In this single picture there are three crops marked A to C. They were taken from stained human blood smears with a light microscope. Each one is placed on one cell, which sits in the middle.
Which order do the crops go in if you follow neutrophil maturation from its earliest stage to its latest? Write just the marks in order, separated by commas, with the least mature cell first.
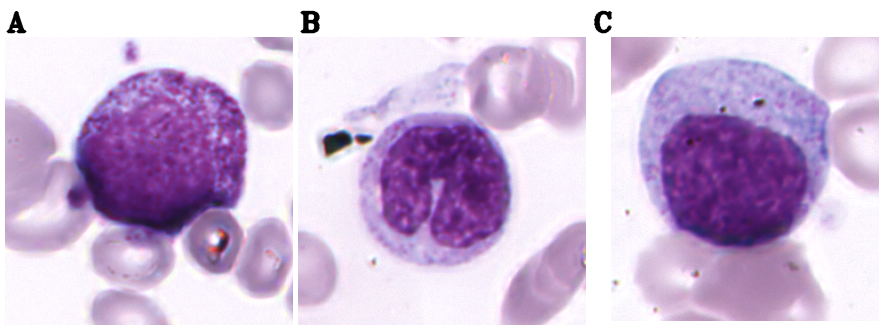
C, A, B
